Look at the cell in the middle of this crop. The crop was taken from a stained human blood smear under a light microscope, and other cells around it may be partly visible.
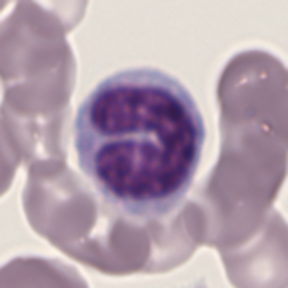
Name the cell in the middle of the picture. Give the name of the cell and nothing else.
monocyte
